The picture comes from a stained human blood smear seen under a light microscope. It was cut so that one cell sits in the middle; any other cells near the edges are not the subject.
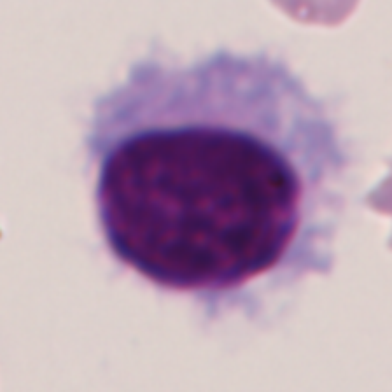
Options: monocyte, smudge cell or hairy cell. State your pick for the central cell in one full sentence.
At the crop's centre, the cell is a hairy cell.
